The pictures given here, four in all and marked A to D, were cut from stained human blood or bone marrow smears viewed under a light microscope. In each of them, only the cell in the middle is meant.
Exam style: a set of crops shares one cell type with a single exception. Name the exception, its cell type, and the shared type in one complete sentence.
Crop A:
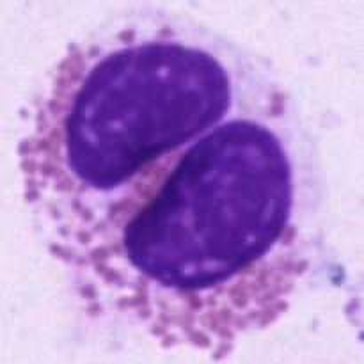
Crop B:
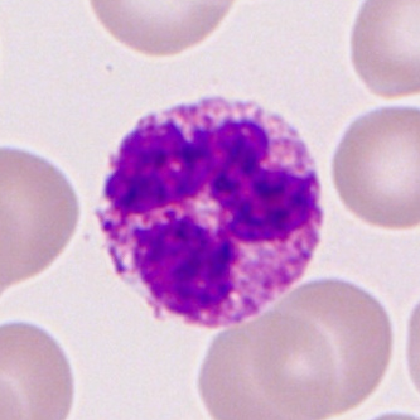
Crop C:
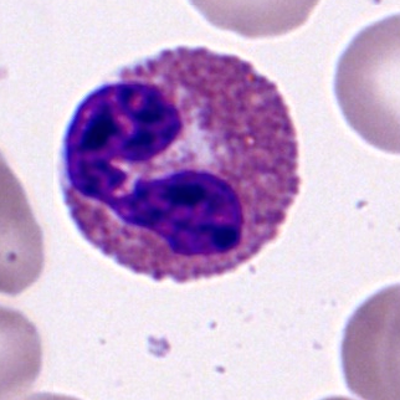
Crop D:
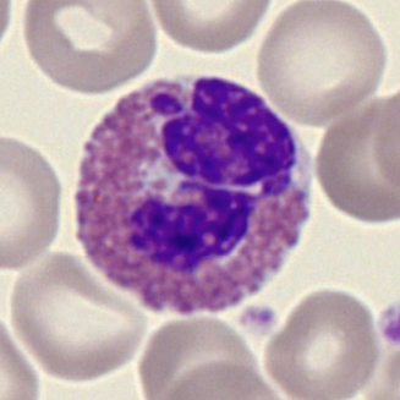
Crop B is the only one that is a basophil; all the others show eosinophils.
